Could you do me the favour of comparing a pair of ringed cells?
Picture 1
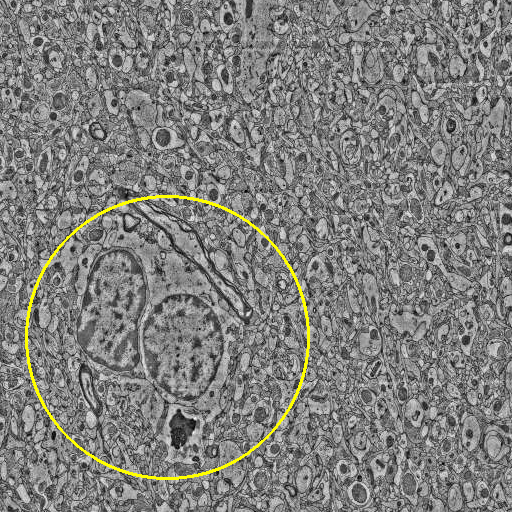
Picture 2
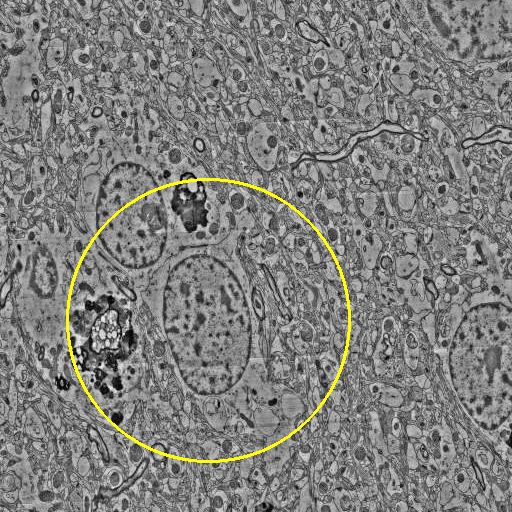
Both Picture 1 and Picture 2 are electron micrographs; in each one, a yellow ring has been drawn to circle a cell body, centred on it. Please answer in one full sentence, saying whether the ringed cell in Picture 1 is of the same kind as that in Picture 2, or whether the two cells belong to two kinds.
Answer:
The ringed cell in Picture 1 is of the same kind as that in Picture 2.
